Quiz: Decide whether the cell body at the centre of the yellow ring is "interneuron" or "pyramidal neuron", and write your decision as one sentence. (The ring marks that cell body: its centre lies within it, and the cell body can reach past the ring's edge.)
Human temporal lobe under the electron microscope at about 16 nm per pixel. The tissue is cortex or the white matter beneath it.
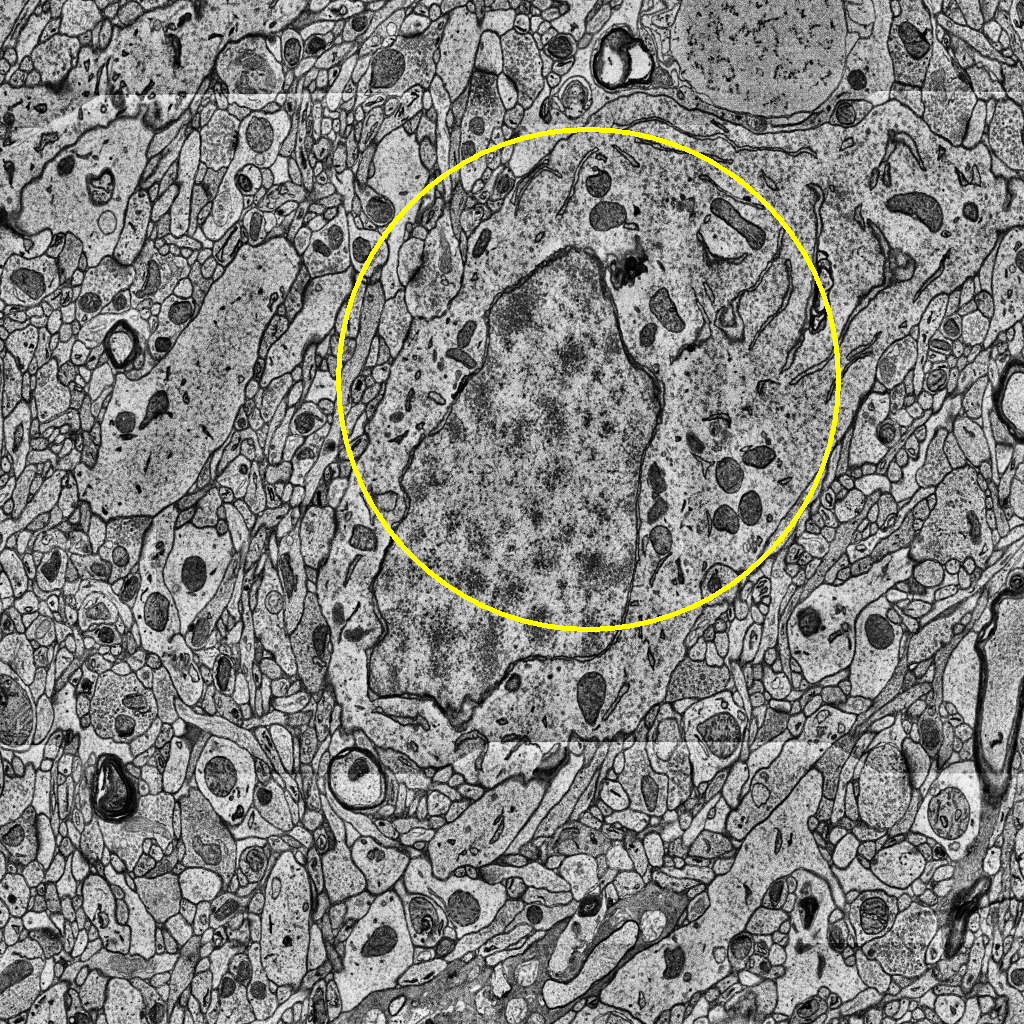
The cell holding the ring's centre is an interneuron.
